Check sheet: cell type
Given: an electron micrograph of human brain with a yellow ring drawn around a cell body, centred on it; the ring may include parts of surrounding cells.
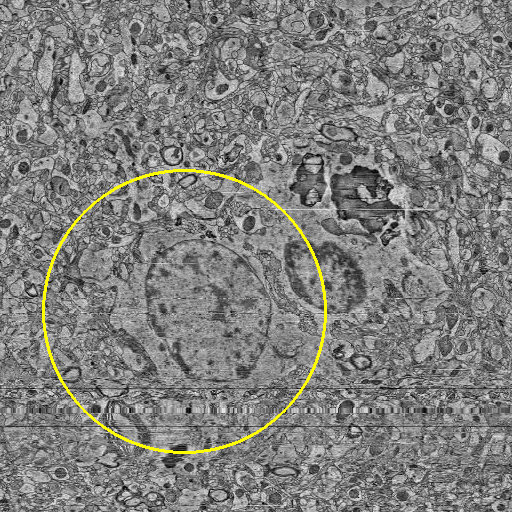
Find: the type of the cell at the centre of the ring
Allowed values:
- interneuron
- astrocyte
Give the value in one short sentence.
Here the ringed cell is an astrocyte.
